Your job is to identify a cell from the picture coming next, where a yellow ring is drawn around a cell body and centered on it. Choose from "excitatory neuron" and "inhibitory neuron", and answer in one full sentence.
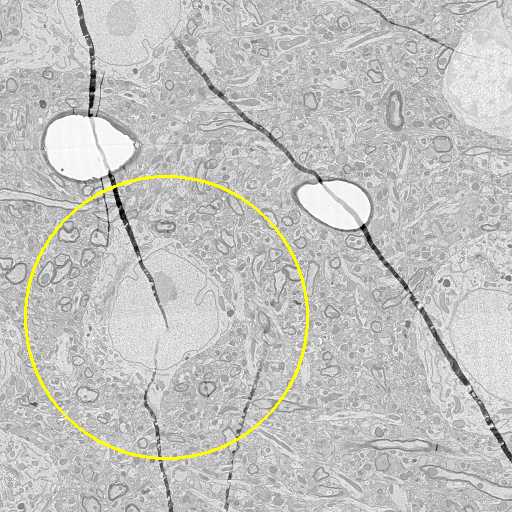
Centered in the yellow ring of the picture is the body of an excitatory neuron.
